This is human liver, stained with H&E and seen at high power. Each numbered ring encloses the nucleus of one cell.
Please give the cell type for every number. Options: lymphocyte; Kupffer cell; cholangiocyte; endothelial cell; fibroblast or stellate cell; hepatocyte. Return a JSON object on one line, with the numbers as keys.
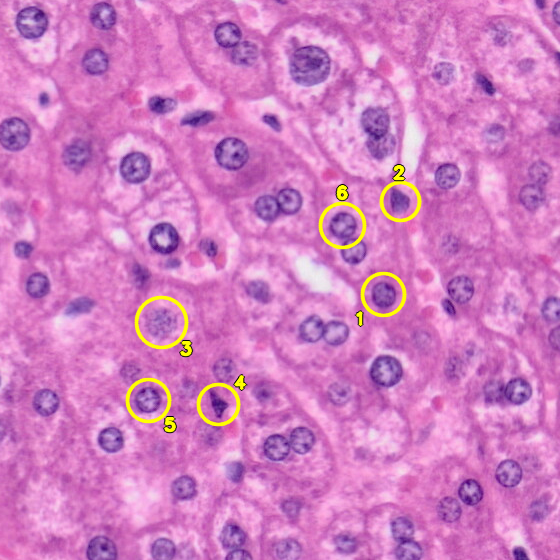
{"1": "hepatocyte", "2": "endothelial cell", "3": "hepatocyte", "4": "fibroblast or stellate cell", "5": "hepatocyte", "6": "hepatocyte"}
